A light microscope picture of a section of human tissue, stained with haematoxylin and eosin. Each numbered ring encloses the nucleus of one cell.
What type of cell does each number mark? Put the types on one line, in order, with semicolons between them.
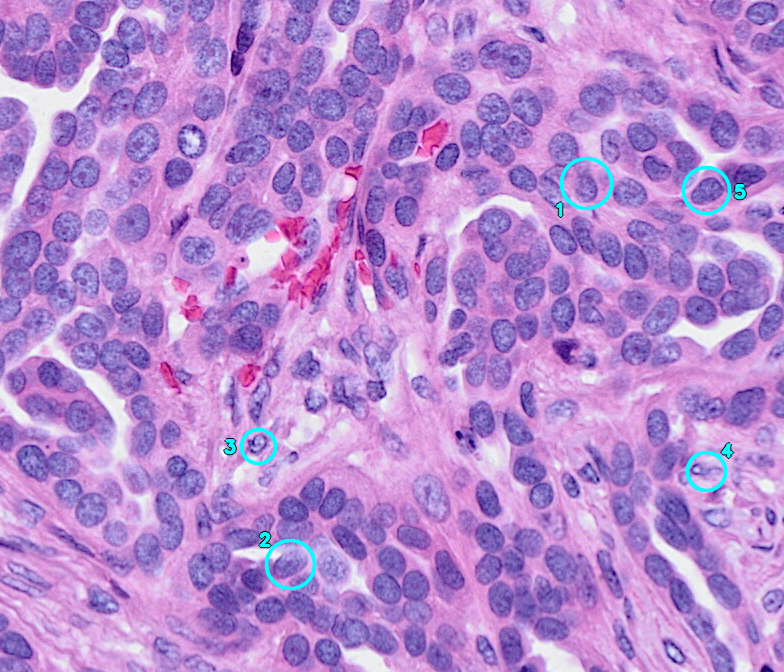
carcinoma cell; carcinoma cell; fibroblast; fibroblast; carcinoma cell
